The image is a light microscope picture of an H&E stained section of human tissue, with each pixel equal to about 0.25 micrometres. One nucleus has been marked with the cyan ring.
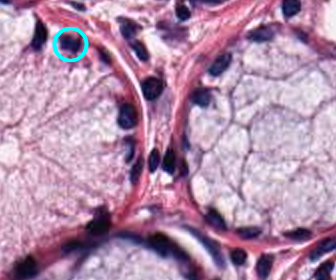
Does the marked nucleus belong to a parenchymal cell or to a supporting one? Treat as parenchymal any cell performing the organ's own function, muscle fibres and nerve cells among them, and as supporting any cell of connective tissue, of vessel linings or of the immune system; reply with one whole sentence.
The parenchymal cell to which the marked nucleus belongs is a mucous gland cell.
